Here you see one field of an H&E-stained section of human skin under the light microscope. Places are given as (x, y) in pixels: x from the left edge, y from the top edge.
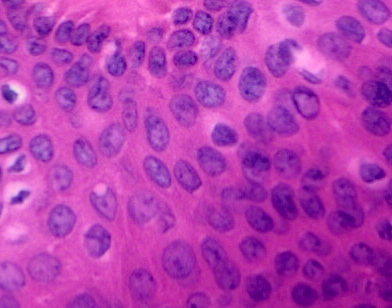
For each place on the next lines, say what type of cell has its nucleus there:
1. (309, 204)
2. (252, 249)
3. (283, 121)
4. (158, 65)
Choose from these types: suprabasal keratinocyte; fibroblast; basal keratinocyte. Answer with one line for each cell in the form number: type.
1: suprabasal keratinocyte
2: suprabasal keratinocyte
3: suprabasal keratinocyte
4: basal keratinocyte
